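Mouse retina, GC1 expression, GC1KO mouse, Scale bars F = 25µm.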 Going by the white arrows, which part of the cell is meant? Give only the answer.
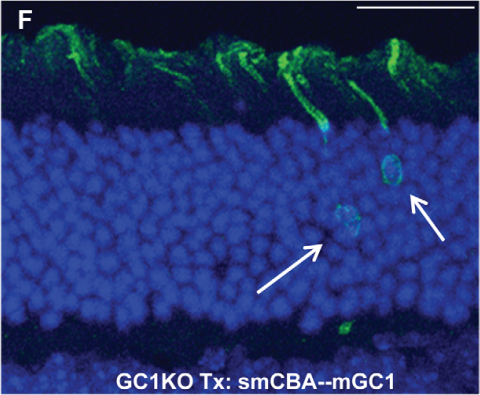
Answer: Photoreceptor cell bodies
